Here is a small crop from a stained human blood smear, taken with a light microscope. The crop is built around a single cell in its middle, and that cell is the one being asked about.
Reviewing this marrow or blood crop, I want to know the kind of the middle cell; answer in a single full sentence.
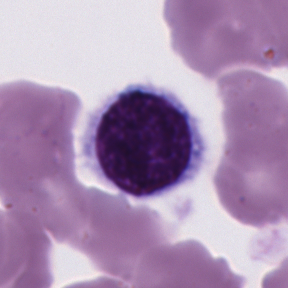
The cell centred in this crop is categorized as a hairy cell.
